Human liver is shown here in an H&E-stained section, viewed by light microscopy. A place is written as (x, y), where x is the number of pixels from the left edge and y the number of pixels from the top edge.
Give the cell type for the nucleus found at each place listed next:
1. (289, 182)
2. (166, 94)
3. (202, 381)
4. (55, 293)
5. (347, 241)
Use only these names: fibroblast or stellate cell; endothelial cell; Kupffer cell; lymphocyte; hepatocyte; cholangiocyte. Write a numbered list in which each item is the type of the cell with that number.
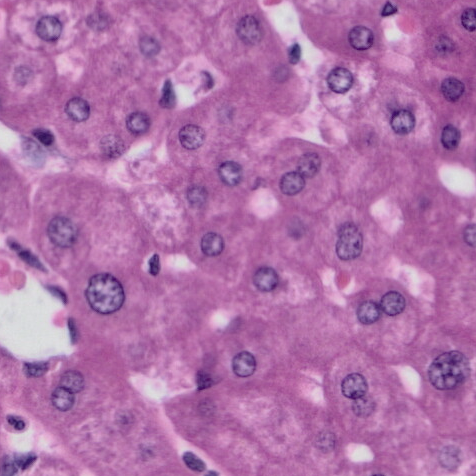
1. hepatocyte
2. endothelial cell
3. fibroblast or stellate cell
4. fibroblast or stellate cell
5. hepatocyte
